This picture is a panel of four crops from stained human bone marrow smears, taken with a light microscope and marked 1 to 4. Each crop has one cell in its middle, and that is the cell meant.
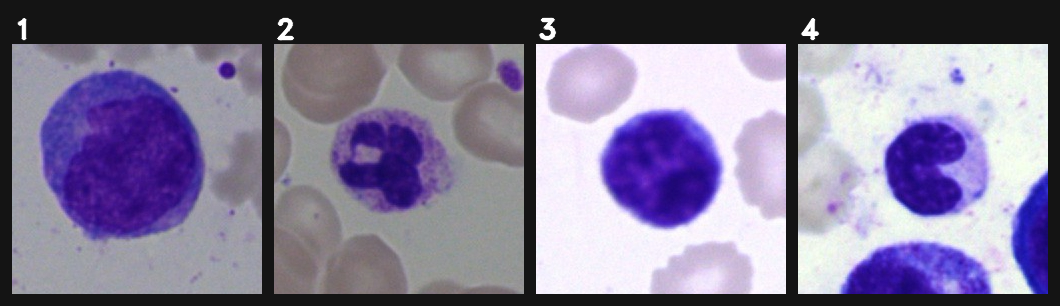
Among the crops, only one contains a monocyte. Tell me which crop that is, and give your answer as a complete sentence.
Crop 1 is the one that shows a monocyte.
